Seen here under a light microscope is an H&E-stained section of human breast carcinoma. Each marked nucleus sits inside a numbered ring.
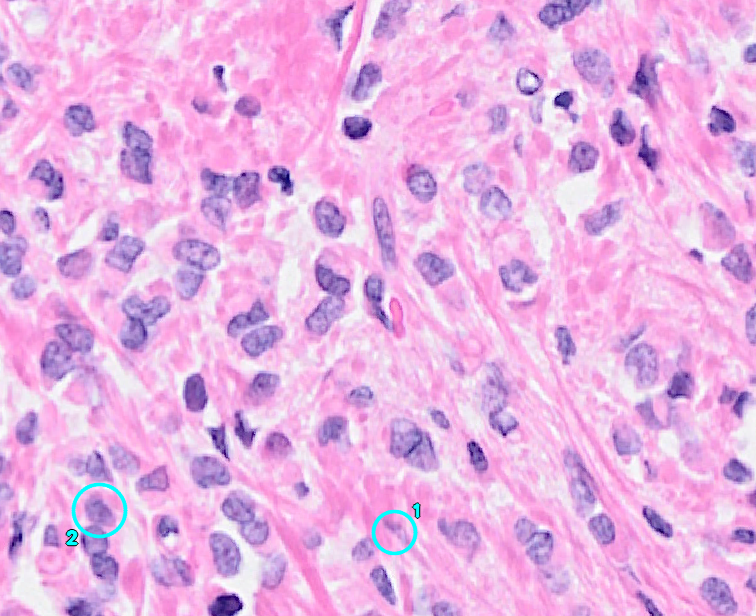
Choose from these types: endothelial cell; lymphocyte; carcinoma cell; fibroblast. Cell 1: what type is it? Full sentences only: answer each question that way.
The cell that goes by number 1 is a fibroblast.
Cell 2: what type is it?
Cell 2 of the marked set is a carcinoma cell.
